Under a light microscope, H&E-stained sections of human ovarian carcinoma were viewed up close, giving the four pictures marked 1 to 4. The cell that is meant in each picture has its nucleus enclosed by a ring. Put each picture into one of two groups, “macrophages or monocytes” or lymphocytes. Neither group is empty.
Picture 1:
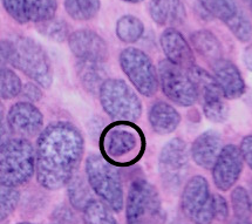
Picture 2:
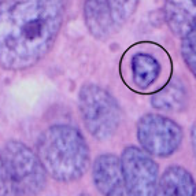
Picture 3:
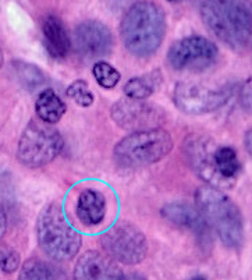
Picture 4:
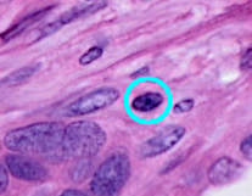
1: macrophage or monocyte
2: macrophage or monocyte
3: lymphocyte
4: lymphocyte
